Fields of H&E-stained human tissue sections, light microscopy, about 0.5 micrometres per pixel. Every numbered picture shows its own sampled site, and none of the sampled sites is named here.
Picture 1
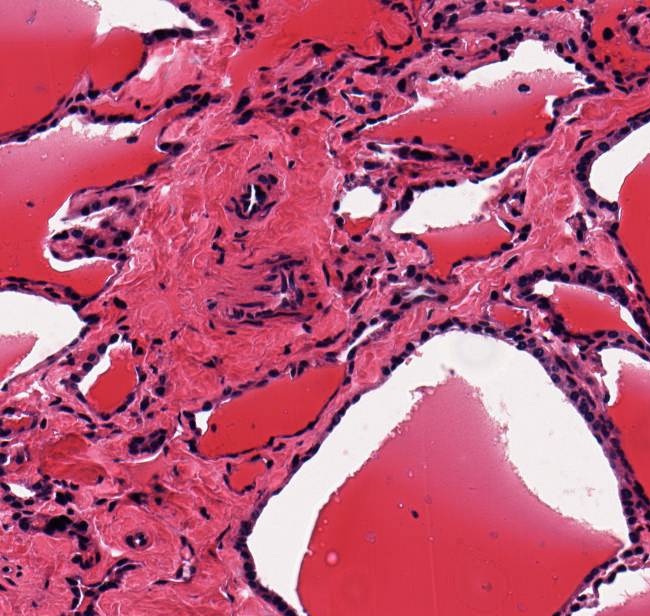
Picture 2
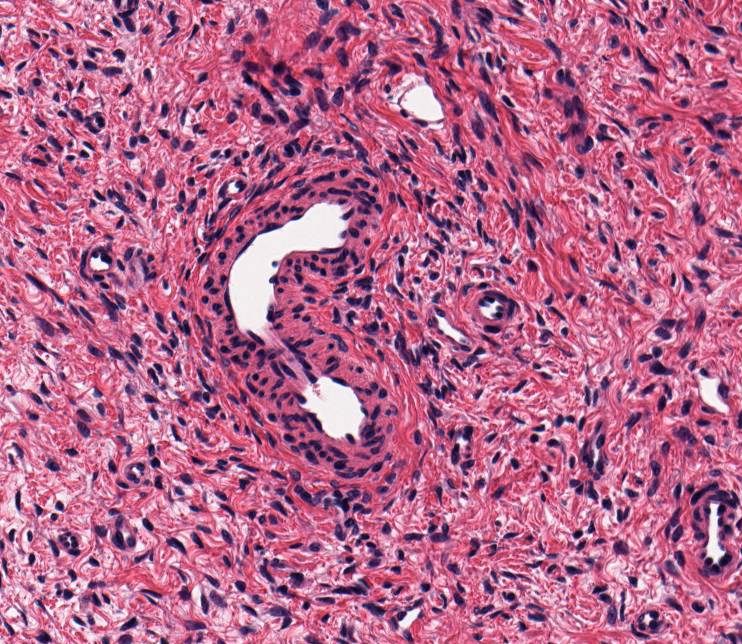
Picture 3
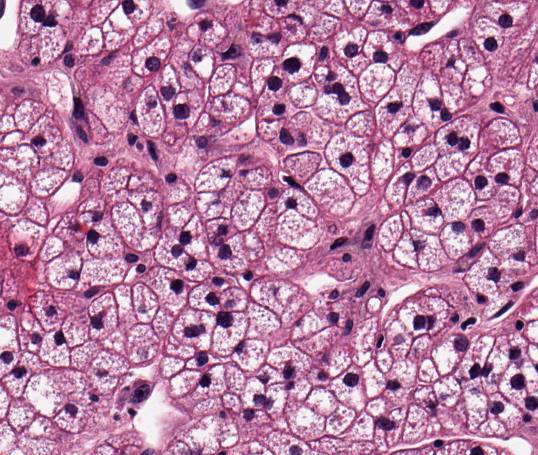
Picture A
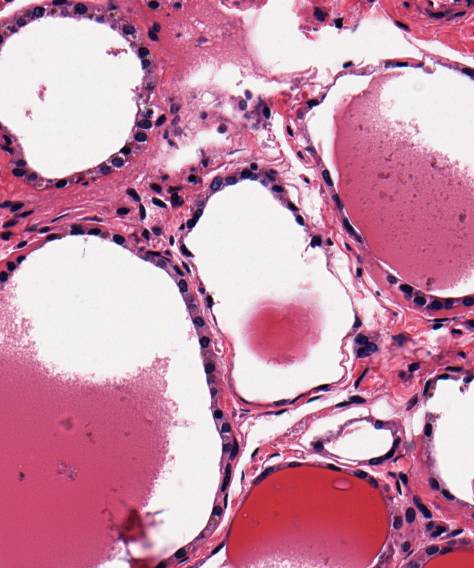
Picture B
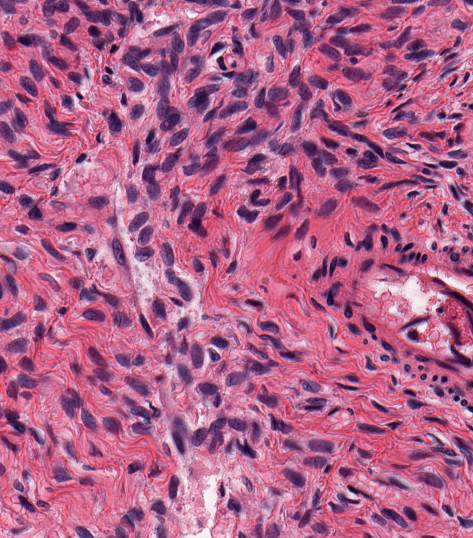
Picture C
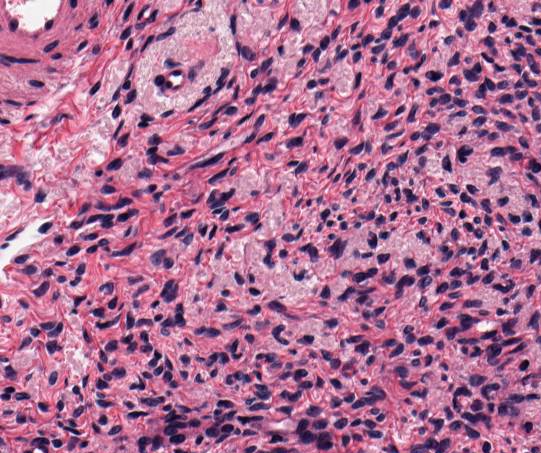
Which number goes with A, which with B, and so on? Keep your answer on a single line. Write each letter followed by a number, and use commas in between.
A 1, B 2, C 2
